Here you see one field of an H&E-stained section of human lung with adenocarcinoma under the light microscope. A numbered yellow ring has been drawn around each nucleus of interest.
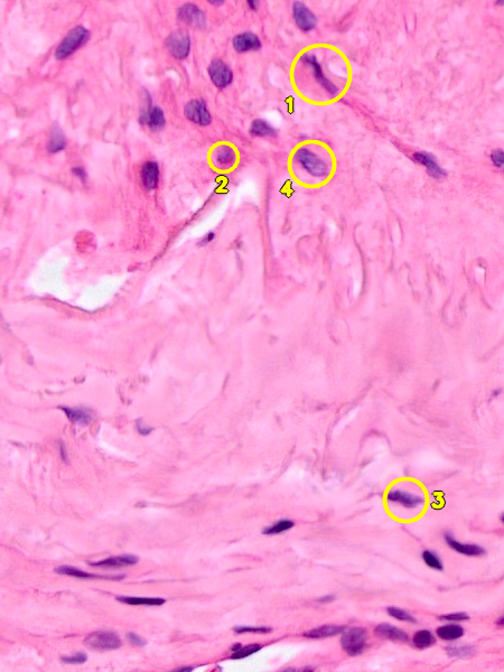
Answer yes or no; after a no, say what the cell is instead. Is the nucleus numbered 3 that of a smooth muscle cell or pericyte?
No, it is a fibroblast.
